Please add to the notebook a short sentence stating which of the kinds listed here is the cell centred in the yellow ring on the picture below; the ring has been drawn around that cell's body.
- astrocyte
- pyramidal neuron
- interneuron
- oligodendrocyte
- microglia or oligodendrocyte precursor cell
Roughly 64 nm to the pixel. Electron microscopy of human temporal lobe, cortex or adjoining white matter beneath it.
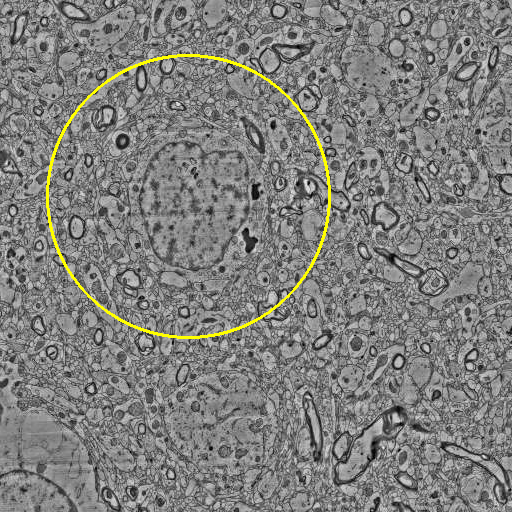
The cell centred in the yellow ring is an interneuron.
